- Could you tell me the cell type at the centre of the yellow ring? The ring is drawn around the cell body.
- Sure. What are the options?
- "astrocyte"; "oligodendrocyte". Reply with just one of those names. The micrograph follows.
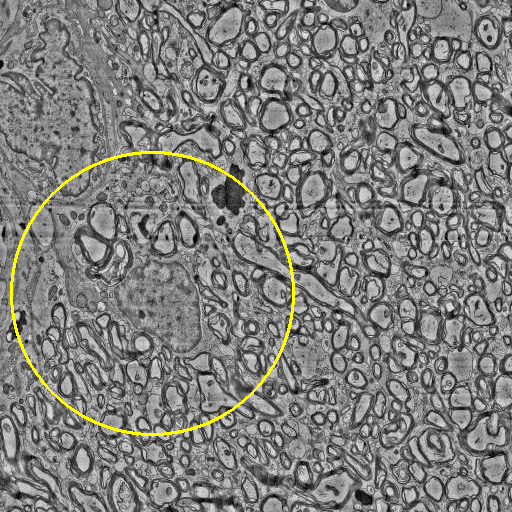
oligodendrocyte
